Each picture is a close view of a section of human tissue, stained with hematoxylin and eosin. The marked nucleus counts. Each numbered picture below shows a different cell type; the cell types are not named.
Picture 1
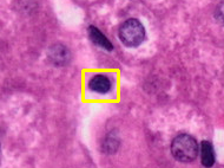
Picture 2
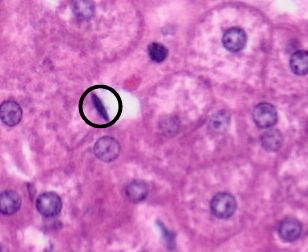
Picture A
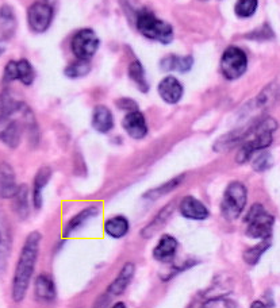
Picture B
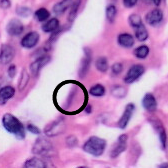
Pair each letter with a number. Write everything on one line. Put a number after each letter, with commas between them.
A 2, B 2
